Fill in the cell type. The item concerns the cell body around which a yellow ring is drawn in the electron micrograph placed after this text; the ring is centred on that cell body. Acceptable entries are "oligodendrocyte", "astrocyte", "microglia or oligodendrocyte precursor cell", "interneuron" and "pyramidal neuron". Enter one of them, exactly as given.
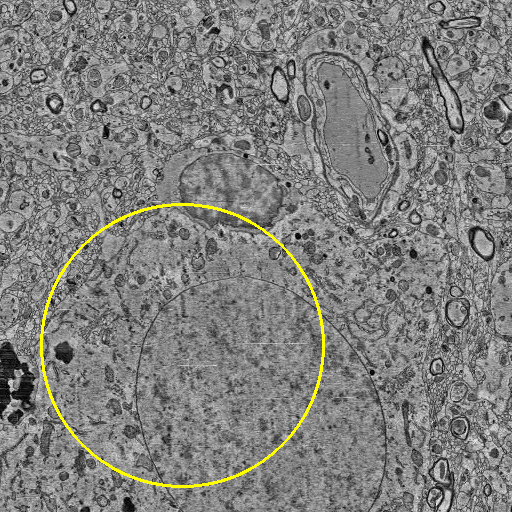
pyramidal neuron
